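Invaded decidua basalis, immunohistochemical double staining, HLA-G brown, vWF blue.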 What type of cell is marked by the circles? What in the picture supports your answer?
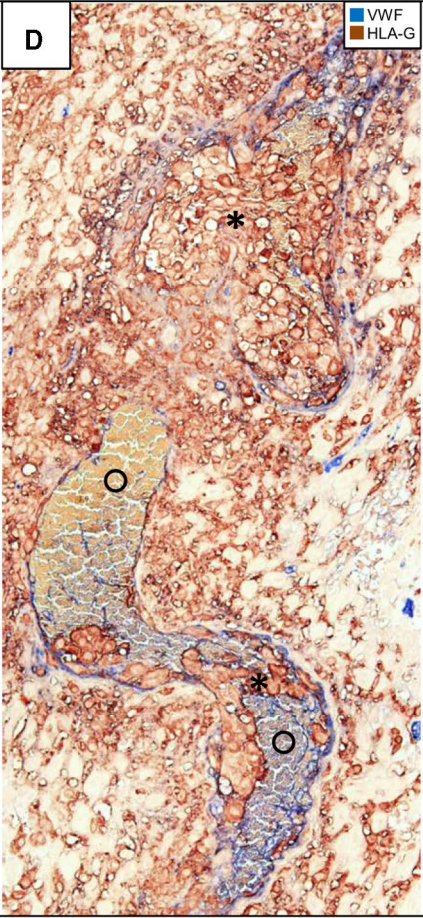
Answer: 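Densely packed small cell profiles in a yellow-greenish-blue mass inside the vessel. They lie beside a brown-stained cell mass that fills part of the lumen. That points to this answer: Erythrocytes.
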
